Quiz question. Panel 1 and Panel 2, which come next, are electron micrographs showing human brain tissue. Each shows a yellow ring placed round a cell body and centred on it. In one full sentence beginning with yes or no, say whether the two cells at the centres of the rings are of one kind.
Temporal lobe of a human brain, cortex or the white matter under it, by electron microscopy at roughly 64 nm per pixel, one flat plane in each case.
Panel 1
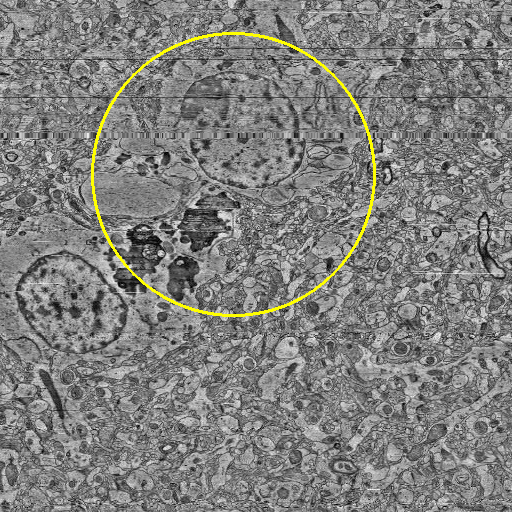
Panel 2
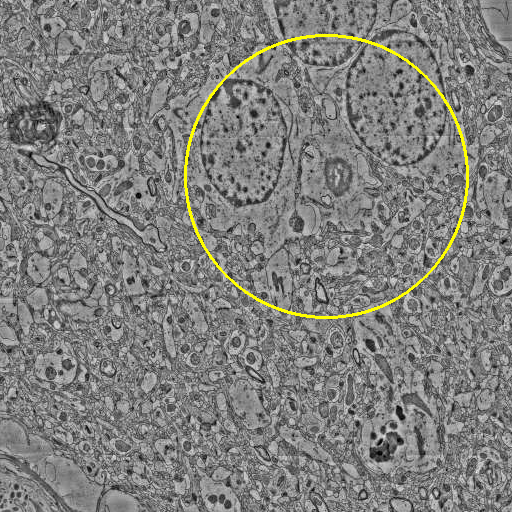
Yes, Panel 1 and Panel 2 show one kind of cell at the centre of the ring.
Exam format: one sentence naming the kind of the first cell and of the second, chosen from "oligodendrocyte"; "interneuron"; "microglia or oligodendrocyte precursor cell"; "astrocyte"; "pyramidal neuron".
Each cell at the centre of a ring is an astrocyte.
